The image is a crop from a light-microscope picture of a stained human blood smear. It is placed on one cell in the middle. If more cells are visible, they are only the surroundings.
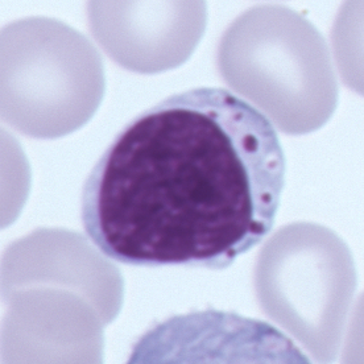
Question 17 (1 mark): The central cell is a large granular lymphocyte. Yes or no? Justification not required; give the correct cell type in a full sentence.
Yes, this is a large granular lymphocyte, the cell in the middle of the crop.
